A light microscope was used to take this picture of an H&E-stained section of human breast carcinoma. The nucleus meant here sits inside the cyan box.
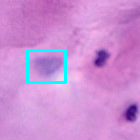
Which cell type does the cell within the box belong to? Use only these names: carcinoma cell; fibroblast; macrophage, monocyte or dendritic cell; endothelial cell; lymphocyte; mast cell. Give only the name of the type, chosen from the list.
fibroblast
